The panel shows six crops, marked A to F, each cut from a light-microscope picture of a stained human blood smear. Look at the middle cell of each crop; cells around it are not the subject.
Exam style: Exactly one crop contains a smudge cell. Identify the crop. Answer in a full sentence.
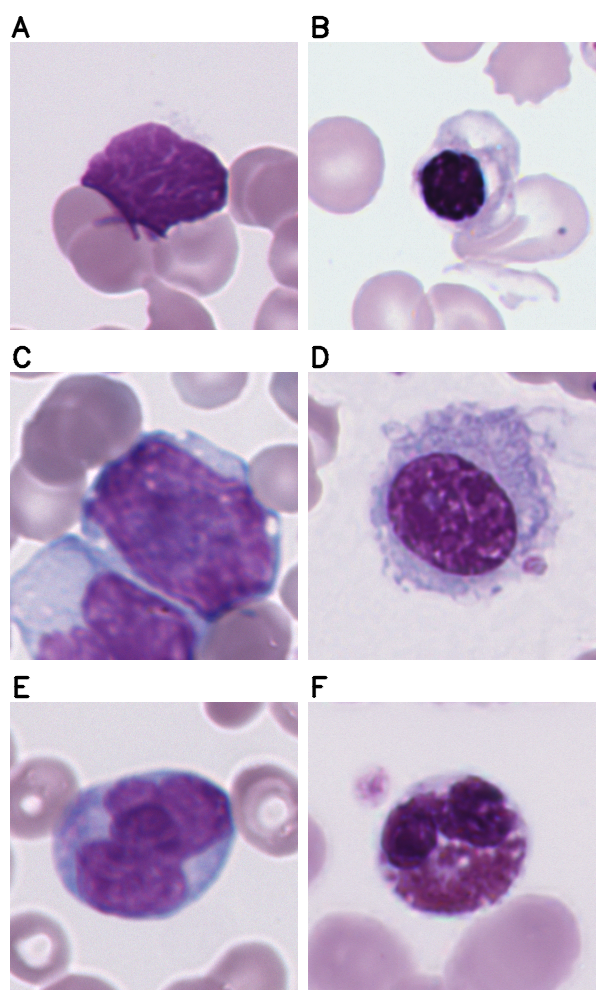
Look at crop A; that is the one with a smudge cell in its center.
